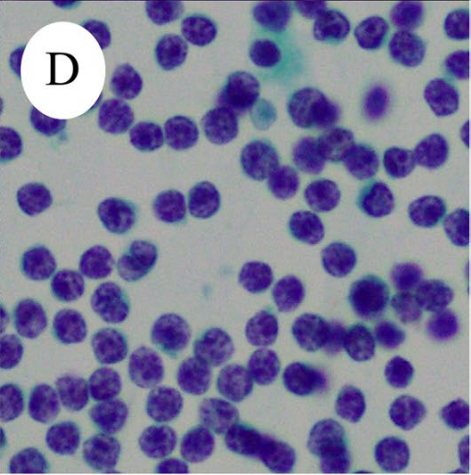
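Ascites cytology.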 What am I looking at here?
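The cells are small and round, and they lie singly or in small loose groups. They do not form sheets, glands or papillary clusters. Each cell has a round, dark purple nucleus that takes up most of the cell, with only a thin rim of cytoplasm. A few wisps of faint blue-green material lie between the cells.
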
